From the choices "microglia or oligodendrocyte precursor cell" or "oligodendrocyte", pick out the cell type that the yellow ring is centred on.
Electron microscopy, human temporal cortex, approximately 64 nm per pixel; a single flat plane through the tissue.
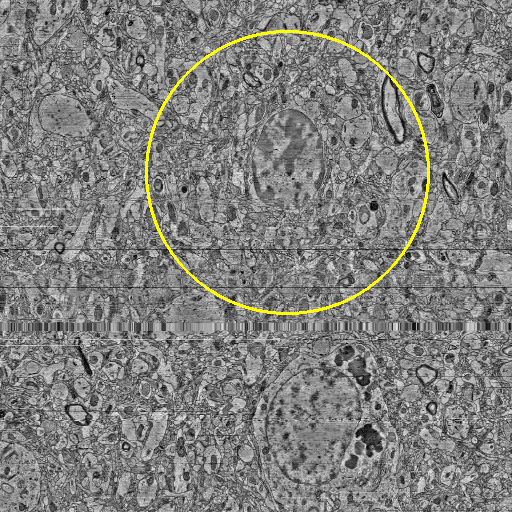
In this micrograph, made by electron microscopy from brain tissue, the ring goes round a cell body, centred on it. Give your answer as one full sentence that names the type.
The yellow ring is centred on a microglial cell or oligodendrocyte precursor cell, whose cell body it encircles in the picture.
